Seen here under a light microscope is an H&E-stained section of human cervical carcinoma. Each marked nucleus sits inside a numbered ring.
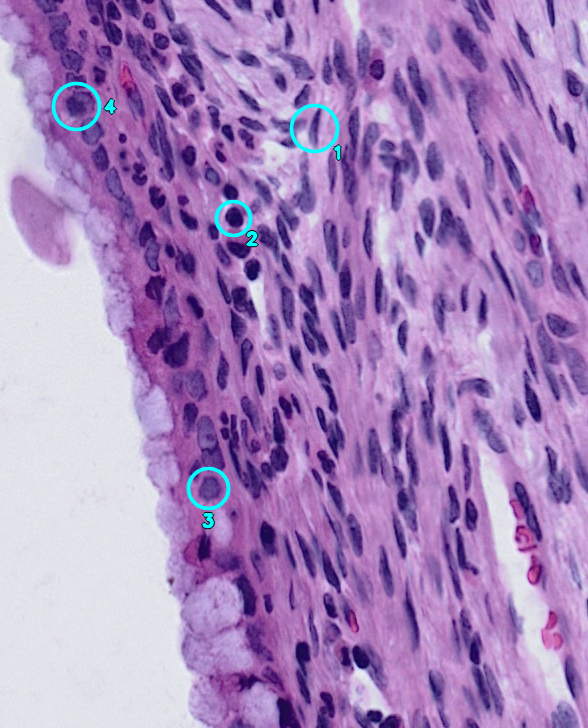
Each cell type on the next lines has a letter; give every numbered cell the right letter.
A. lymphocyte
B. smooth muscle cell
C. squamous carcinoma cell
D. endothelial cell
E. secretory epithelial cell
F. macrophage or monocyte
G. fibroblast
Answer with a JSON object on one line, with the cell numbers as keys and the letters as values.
{"1": "G", "2": "A", "3": "E", "4": "E"}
